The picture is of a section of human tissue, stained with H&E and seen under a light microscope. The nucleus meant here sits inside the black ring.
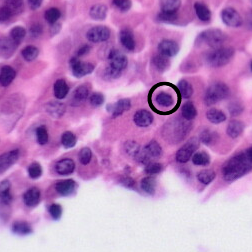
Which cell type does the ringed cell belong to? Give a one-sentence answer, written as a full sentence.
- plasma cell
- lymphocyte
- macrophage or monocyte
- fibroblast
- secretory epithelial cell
As a matter of cell type, the ringed cell is a plasma cell.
